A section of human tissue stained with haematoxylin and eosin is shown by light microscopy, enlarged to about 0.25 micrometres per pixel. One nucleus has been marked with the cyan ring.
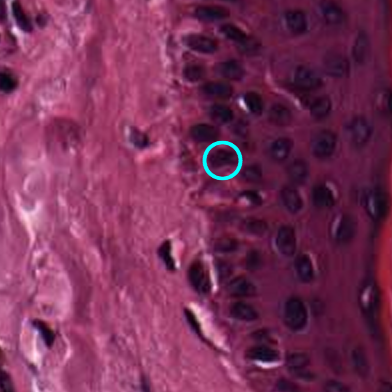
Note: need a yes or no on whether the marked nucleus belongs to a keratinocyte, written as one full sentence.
Yes, the nucleus shown with the mark belongs to a keratinocyte.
